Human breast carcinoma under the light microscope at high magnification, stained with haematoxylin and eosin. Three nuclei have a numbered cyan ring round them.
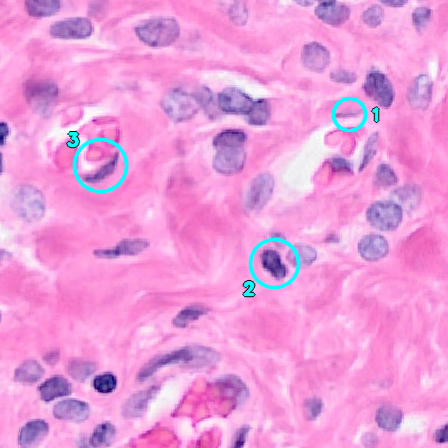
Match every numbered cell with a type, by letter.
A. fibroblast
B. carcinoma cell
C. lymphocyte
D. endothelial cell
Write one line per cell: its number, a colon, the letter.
1: D
2: C
3: D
